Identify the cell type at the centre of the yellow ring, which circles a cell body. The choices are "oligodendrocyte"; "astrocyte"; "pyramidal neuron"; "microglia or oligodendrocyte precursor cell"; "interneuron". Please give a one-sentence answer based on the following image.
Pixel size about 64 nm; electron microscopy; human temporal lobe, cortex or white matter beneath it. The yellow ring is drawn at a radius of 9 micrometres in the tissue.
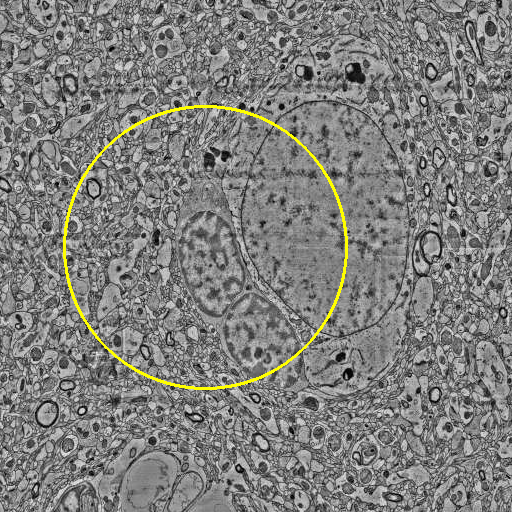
The cell marked by the ring is an oligodendrocyte.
